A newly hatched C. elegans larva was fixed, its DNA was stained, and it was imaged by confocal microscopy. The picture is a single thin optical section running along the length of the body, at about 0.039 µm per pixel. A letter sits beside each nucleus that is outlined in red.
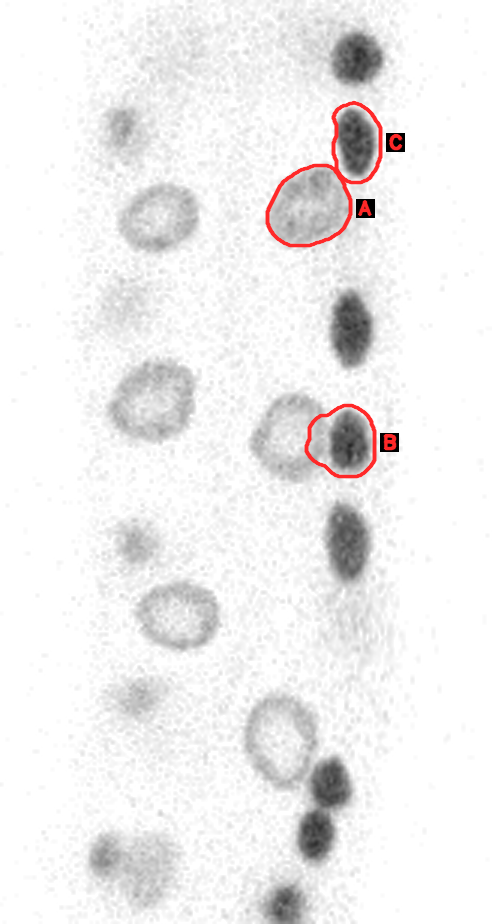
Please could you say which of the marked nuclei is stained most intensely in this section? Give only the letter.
C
